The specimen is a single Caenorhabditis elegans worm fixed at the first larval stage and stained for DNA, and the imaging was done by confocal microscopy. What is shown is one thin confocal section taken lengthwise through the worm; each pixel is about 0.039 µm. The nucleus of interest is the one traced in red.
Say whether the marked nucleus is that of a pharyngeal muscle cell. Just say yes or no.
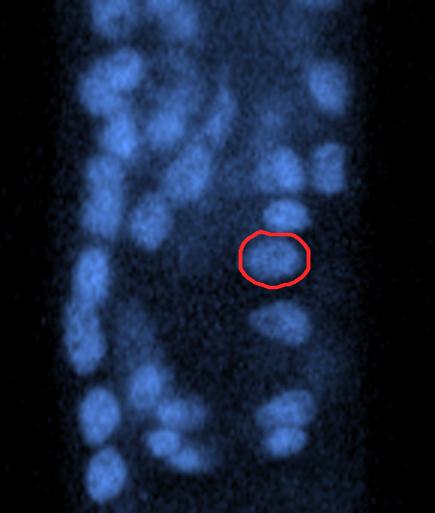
yes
